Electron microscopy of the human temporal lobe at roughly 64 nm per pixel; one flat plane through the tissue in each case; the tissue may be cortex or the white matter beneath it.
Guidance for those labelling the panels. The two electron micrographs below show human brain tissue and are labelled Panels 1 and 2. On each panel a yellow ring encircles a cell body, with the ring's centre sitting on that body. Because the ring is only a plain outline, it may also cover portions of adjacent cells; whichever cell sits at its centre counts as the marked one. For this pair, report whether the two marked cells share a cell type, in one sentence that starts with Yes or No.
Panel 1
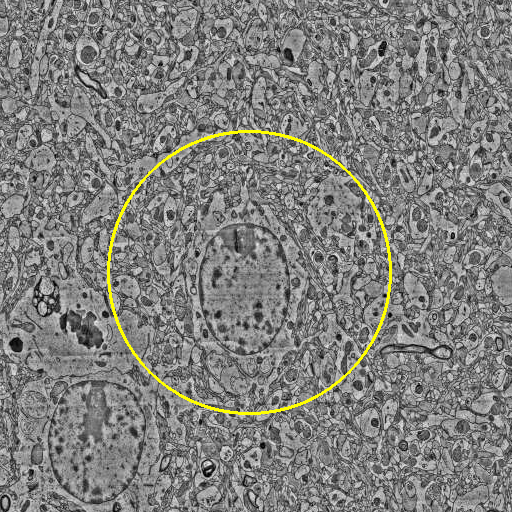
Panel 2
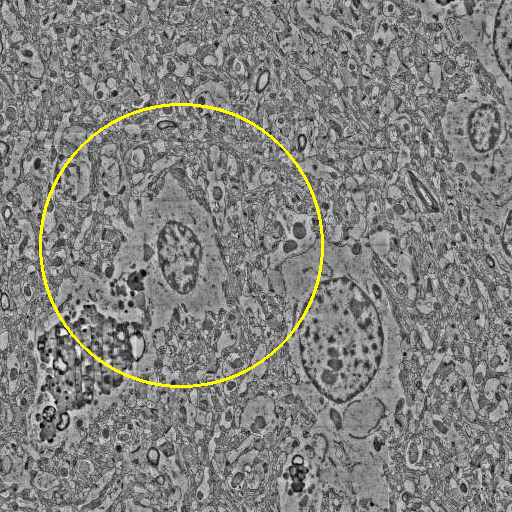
Yes, in Panel 1 and Panel 2 the marked cells at the ring centres share one type.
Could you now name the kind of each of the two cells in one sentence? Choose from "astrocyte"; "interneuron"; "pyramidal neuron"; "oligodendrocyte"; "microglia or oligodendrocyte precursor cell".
The cell at the ring centre is an astrocyte in both pictures.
